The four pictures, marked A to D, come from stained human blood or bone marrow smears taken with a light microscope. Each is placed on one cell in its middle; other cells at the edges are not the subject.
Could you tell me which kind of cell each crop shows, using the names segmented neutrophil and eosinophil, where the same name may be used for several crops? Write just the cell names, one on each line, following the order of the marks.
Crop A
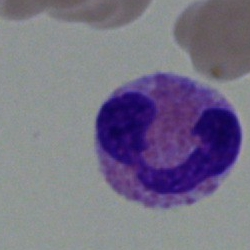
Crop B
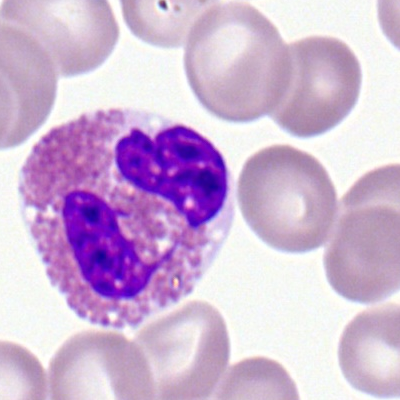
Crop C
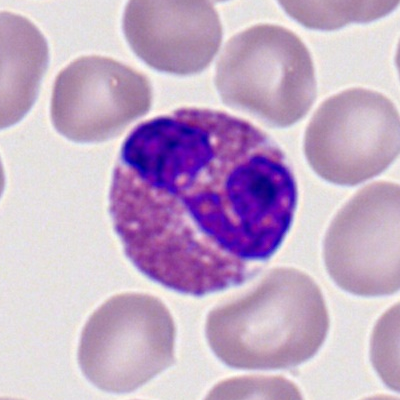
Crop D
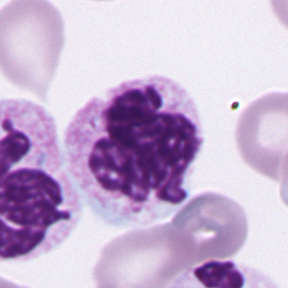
eosinophil
eosinophil
eosinophil
segmented neutrophil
